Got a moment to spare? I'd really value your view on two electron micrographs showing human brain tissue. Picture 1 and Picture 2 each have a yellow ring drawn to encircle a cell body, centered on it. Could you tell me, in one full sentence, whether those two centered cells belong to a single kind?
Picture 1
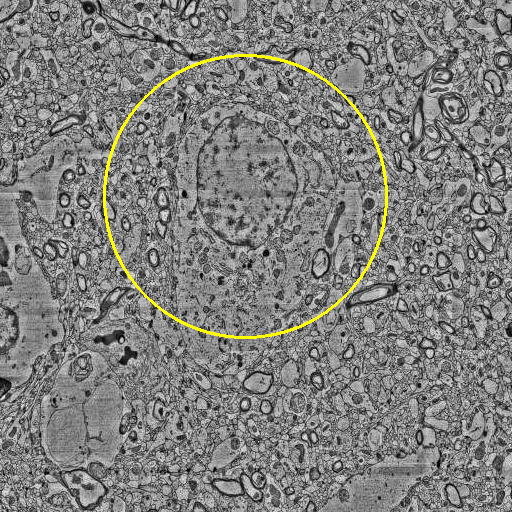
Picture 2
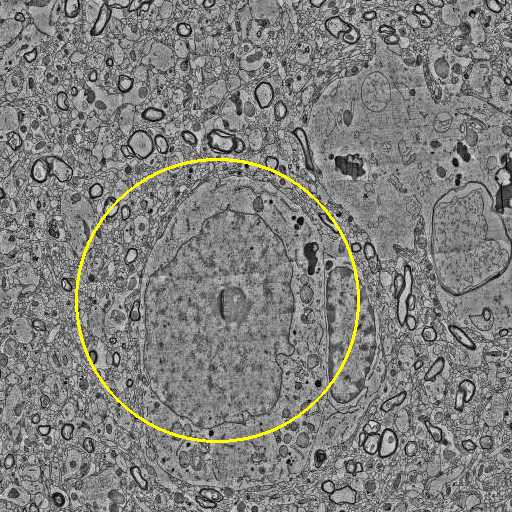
Yes, the two centered cells in Picture 1 and Picture 2 are of a single kind.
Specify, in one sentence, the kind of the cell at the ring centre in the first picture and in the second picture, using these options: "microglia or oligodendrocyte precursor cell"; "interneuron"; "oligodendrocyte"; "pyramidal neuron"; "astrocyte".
Each cell at the centre of a ring is a pyramidal neuron.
